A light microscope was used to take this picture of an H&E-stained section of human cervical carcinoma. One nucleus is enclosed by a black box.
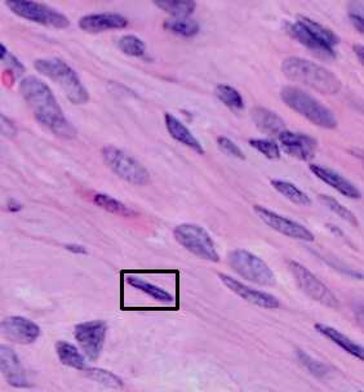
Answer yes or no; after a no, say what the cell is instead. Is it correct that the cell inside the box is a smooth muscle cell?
No, it is a fibroblast.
